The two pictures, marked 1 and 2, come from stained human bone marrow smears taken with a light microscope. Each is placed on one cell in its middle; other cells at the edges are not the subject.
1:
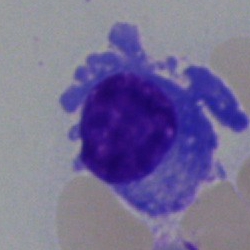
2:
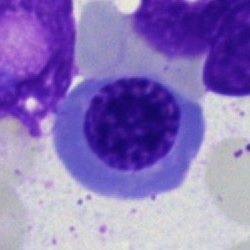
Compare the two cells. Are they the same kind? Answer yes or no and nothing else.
no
